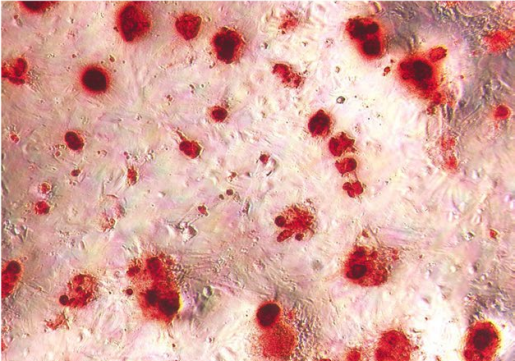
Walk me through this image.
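The red deposits are irregular, rounded clumps of varying size. Some of them are dark at the centre with a lighter red rim. Between the deposits, elongated, spindle-shaped cells form a confluent, streaming layer with faint outlines. The background has a diffuse light pink tint.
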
